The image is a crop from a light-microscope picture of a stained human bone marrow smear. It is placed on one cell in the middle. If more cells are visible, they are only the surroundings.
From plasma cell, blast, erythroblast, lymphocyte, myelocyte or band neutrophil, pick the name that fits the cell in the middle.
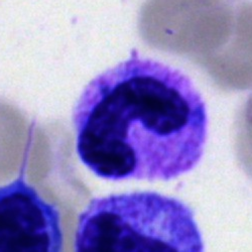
band neutrophil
